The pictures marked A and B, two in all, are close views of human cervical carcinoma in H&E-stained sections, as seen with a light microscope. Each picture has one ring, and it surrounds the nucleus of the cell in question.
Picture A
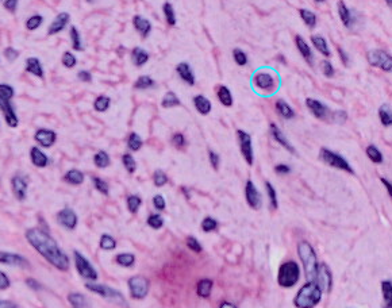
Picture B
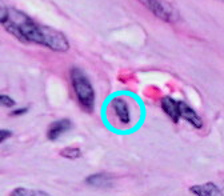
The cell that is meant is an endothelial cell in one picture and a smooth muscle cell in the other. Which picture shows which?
A: smooth muscle cell
B: endothelial cell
